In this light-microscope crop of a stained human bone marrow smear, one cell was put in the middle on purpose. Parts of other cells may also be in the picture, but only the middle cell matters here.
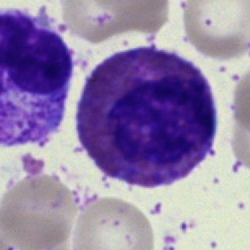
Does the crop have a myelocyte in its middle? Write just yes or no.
no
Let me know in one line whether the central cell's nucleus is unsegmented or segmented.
Worth pointing out that its nucleus is one compact mass, round, oval or reniform.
